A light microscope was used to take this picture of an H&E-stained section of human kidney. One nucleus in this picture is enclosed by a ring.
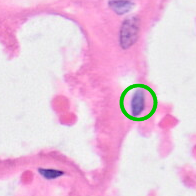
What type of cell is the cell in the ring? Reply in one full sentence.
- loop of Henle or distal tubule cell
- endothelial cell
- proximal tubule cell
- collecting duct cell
In cell-type terms, the cell in the ring is an endothelial cell.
